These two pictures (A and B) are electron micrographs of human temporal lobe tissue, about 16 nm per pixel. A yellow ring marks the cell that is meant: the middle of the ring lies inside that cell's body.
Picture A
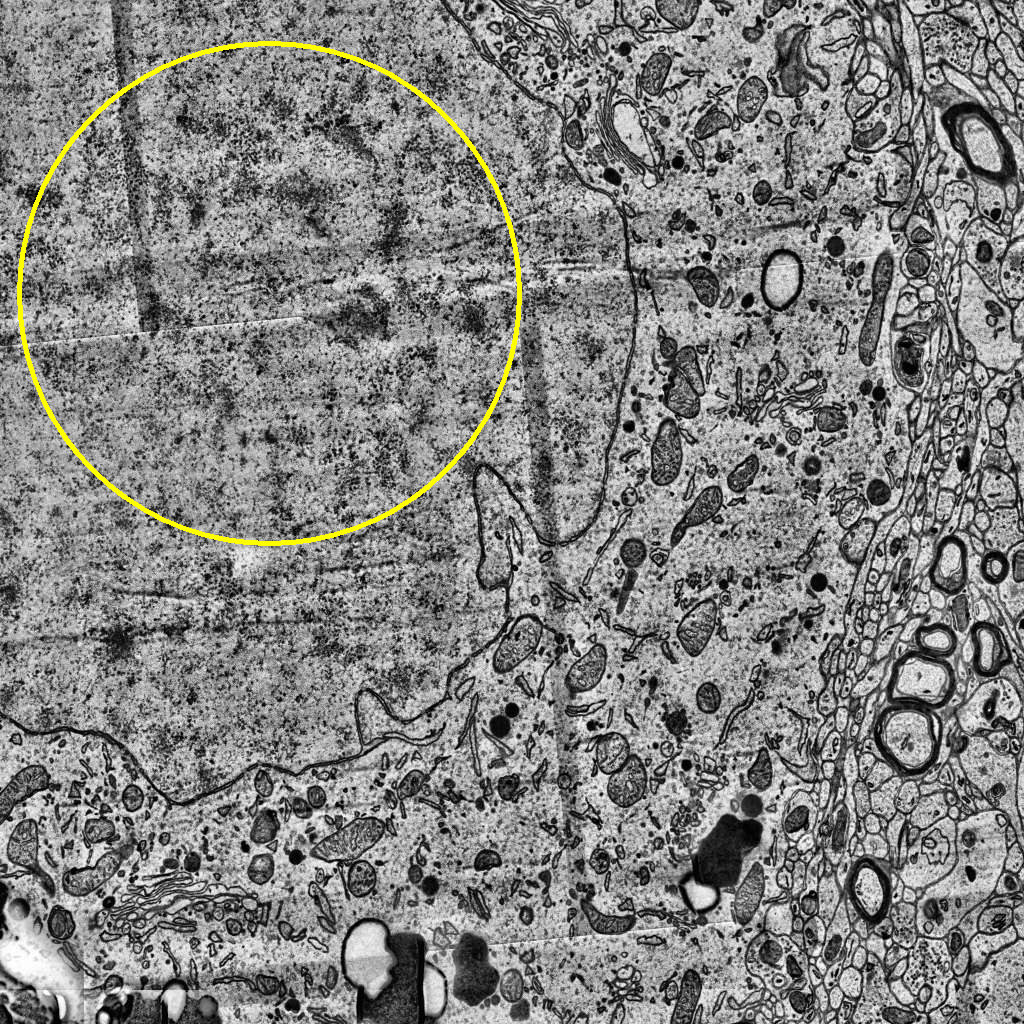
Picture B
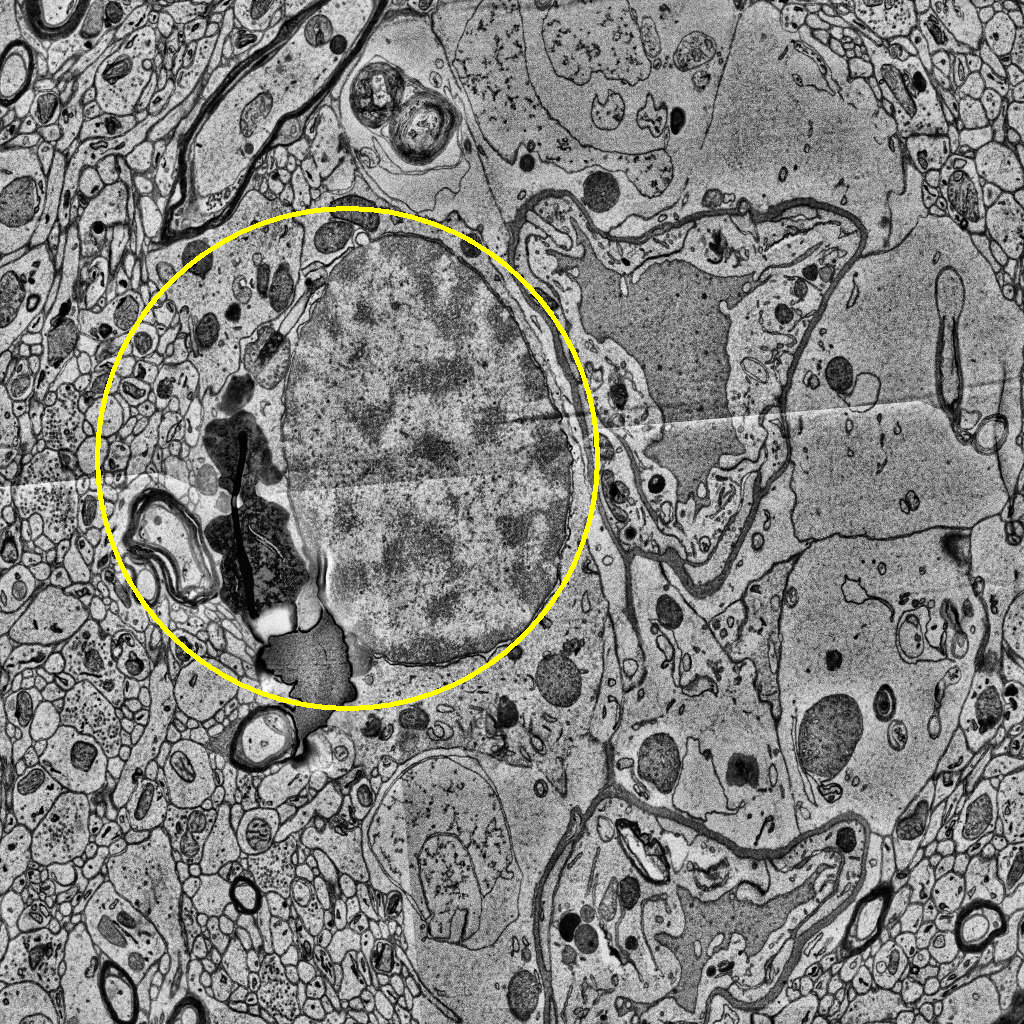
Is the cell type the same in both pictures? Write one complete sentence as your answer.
No, they differ: the cell is a pyramidal neuron in picture A and an oligodendrocyte in picture B.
